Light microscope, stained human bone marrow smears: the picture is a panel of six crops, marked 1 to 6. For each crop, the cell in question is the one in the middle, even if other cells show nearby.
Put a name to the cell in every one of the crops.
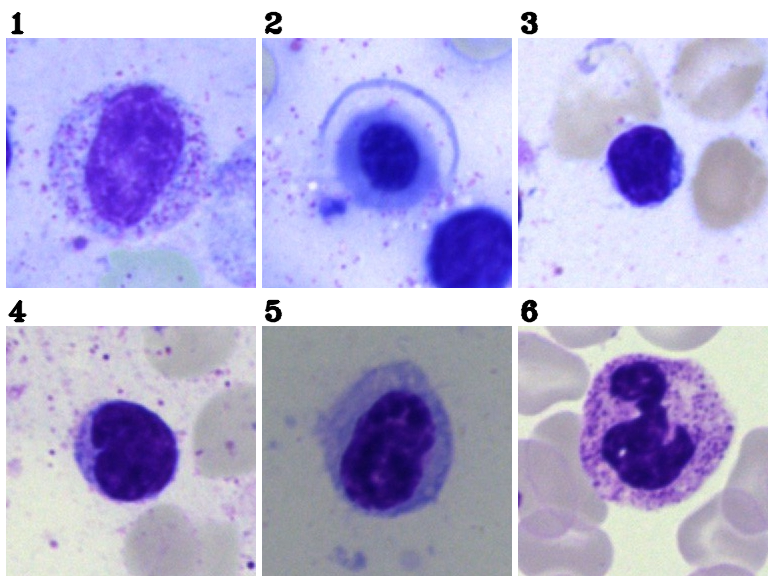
1: myelocyte
2: erythroblast
3: lymphocyte
4: lymphocyte
5: hairy cell
6: segmented neutrophil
